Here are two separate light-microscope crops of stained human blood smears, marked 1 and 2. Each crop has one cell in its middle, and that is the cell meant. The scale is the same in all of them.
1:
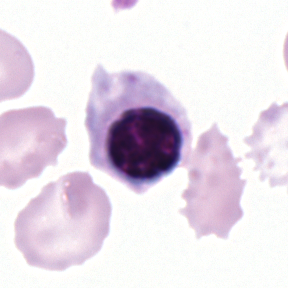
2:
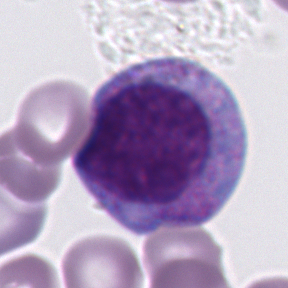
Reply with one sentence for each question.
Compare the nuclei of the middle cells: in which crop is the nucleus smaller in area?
It is the nucleus in crop 1; the one in crop 2 has about 3 times its area.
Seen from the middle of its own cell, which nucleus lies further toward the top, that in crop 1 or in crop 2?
The nucleus in crop 2 lies further toward the top of its cell.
